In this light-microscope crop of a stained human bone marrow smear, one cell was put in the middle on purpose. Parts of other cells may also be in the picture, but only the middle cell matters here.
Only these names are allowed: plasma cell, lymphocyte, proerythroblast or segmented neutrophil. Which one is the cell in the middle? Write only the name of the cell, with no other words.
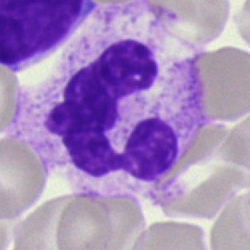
segmented neutrophil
